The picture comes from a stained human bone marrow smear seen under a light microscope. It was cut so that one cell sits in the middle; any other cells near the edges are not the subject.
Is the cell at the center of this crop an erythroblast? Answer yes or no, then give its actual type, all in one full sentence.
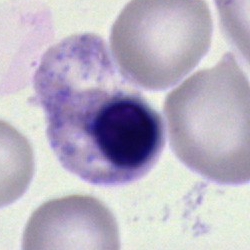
Yes, in the middle of the crop is an erythroblast.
